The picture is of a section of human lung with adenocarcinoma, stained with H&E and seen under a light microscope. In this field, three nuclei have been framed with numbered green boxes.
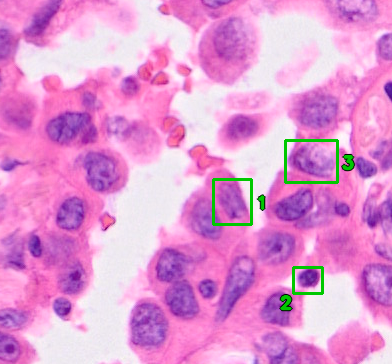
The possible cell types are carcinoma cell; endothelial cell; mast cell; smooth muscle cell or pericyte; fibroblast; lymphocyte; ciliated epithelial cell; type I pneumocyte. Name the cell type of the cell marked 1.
carcinoma cell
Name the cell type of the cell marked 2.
lymphocyte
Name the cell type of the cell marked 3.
carcinoma cell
